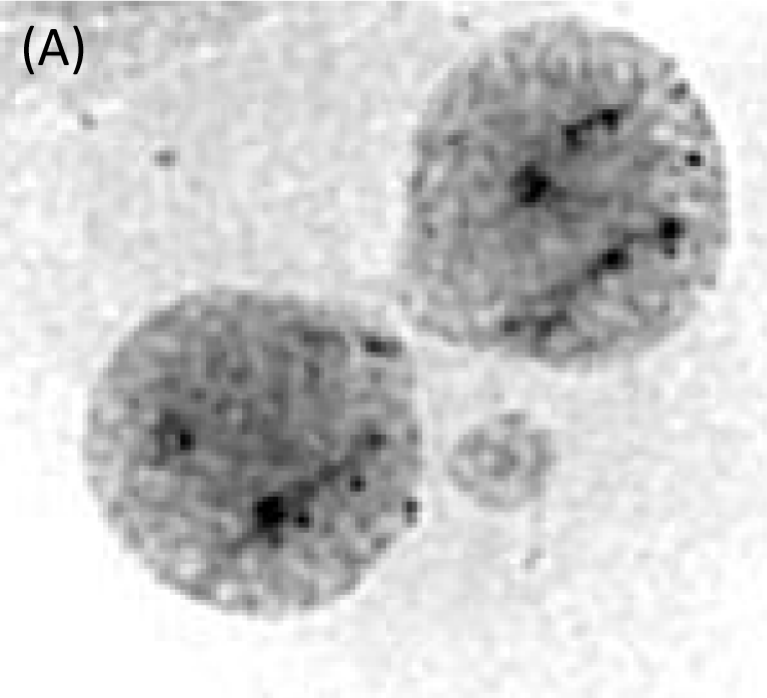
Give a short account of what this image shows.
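Binucleate cell with two large round nuclei of near equal size lying diagonally side by side, almost touching. The surrounding cytoplasm is barely distinguishable from the pale background. A single small round body, far smaller than either nucleus and of similar granular texture, lies separate in the gap between them at the lower right.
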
